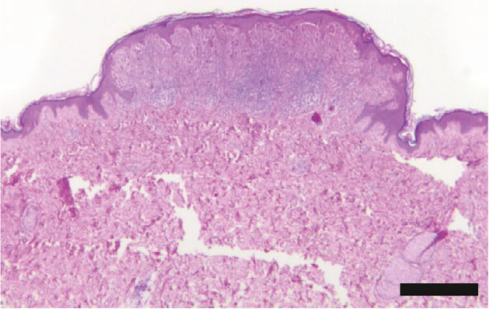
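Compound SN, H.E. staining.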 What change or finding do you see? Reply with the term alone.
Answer: dome‐shaped configuration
